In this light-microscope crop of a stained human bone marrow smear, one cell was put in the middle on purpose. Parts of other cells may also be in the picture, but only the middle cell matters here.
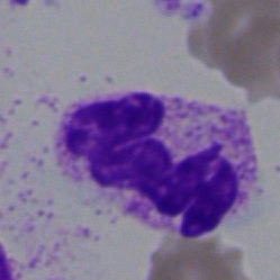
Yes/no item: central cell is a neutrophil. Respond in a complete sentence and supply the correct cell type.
Yes, the cell at the middle is a neutrophil.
